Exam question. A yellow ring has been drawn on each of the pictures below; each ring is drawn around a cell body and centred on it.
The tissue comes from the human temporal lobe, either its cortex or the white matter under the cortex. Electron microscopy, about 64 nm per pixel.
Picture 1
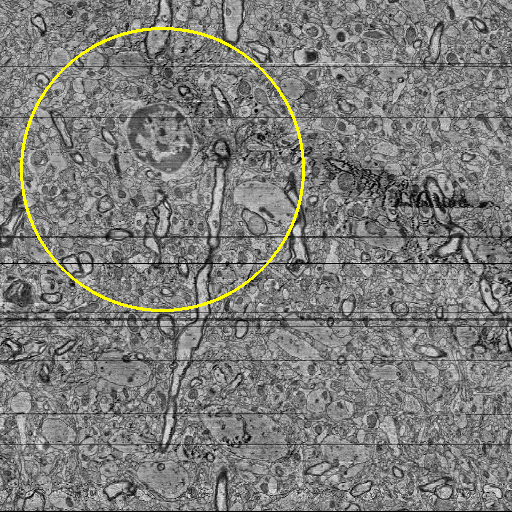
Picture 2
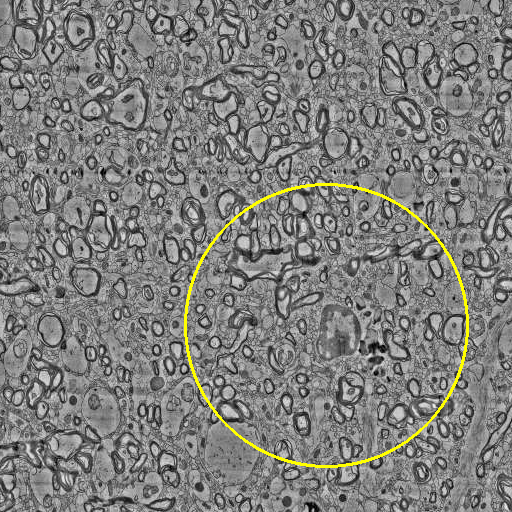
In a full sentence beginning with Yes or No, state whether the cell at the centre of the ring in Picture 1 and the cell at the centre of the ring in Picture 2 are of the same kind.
Yes, the two cells are of the same kind.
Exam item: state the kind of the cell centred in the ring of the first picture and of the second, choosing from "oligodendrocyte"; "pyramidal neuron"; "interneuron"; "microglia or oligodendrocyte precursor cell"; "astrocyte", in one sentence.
Each of the ringed cells, first and second, is a microglial cell or oligodendrocyte precursor cell.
